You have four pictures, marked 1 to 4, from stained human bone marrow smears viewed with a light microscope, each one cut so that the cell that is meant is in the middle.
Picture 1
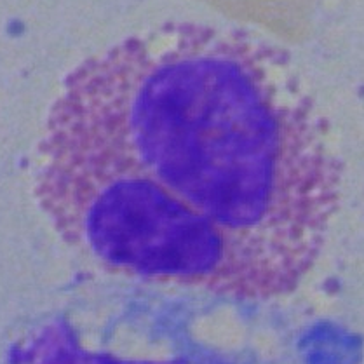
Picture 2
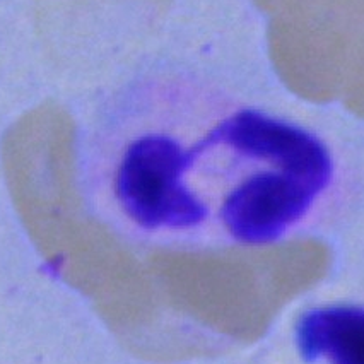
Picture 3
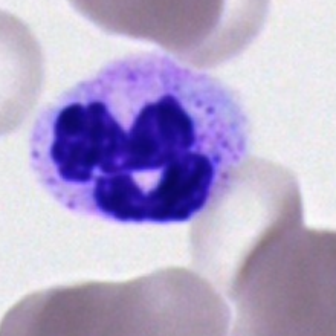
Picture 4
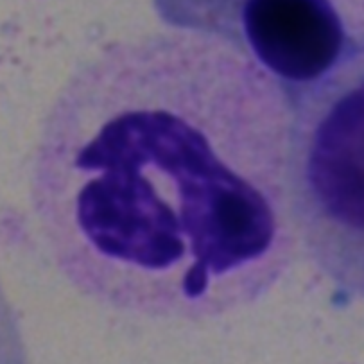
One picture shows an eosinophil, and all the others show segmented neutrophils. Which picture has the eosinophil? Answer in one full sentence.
The picture with the eosinophil is 1.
